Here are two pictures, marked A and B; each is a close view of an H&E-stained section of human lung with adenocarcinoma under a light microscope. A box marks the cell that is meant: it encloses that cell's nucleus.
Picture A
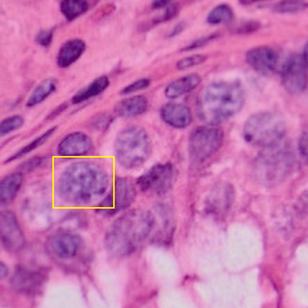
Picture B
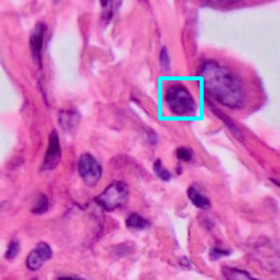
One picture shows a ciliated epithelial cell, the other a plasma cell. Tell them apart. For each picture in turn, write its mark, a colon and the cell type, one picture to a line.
A: ciliated epithelial cell
B: plasma cell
